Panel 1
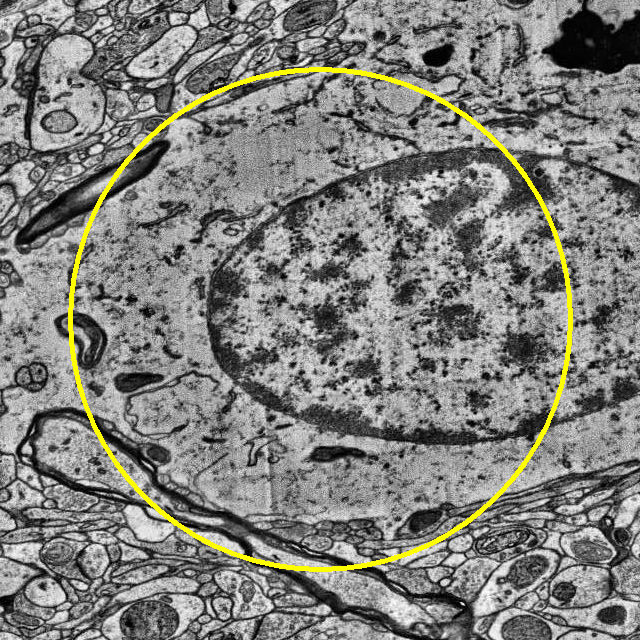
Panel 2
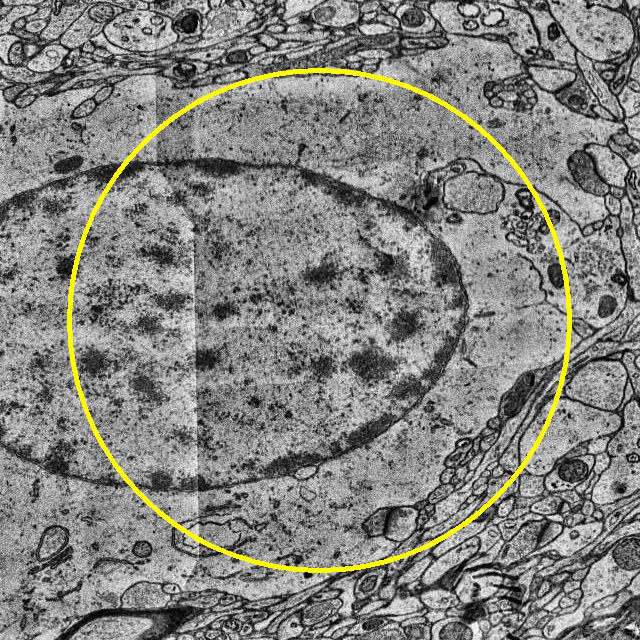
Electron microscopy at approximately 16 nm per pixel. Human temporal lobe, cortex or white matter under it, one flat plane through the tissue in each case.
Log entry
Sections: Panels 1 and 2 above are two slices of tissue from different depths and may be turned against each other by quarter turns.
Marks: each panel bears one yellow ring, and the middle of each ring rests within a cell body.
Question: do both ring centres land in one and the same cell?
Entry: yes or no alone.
yes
